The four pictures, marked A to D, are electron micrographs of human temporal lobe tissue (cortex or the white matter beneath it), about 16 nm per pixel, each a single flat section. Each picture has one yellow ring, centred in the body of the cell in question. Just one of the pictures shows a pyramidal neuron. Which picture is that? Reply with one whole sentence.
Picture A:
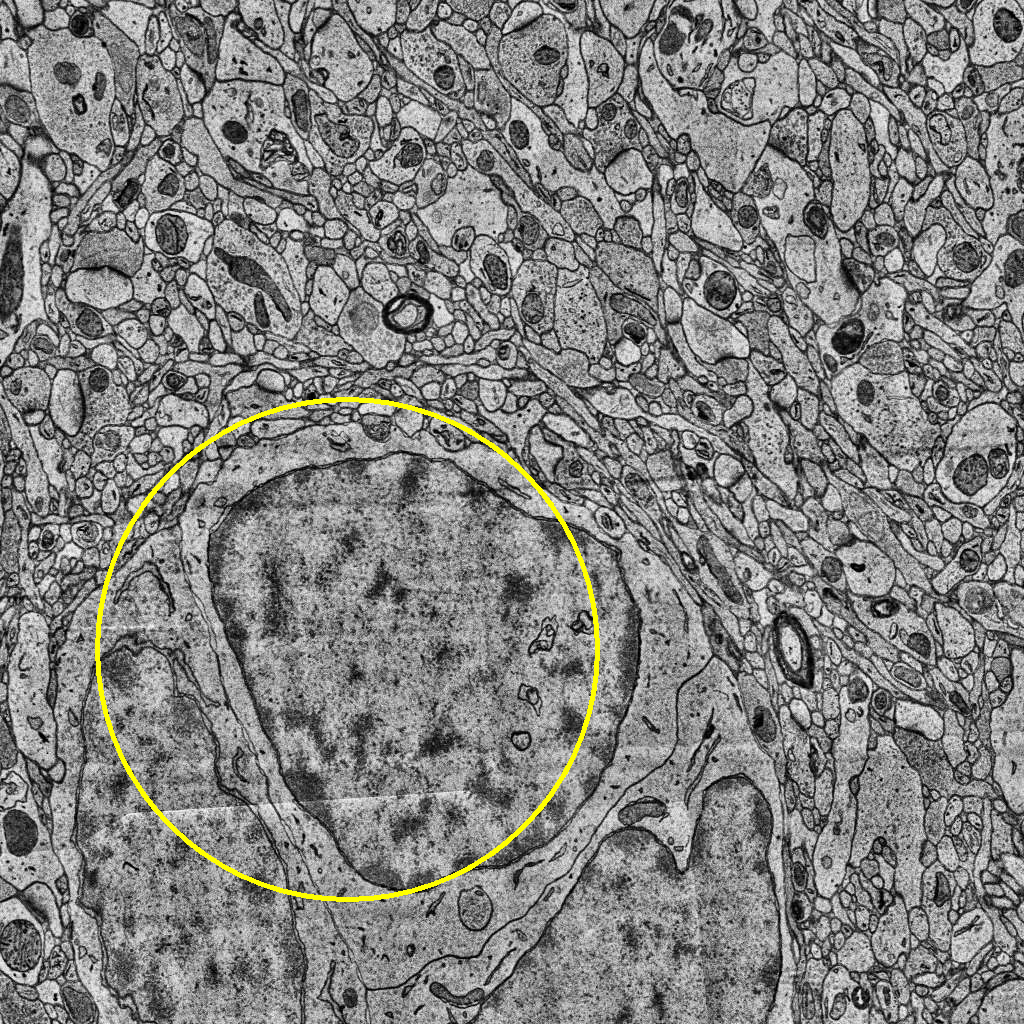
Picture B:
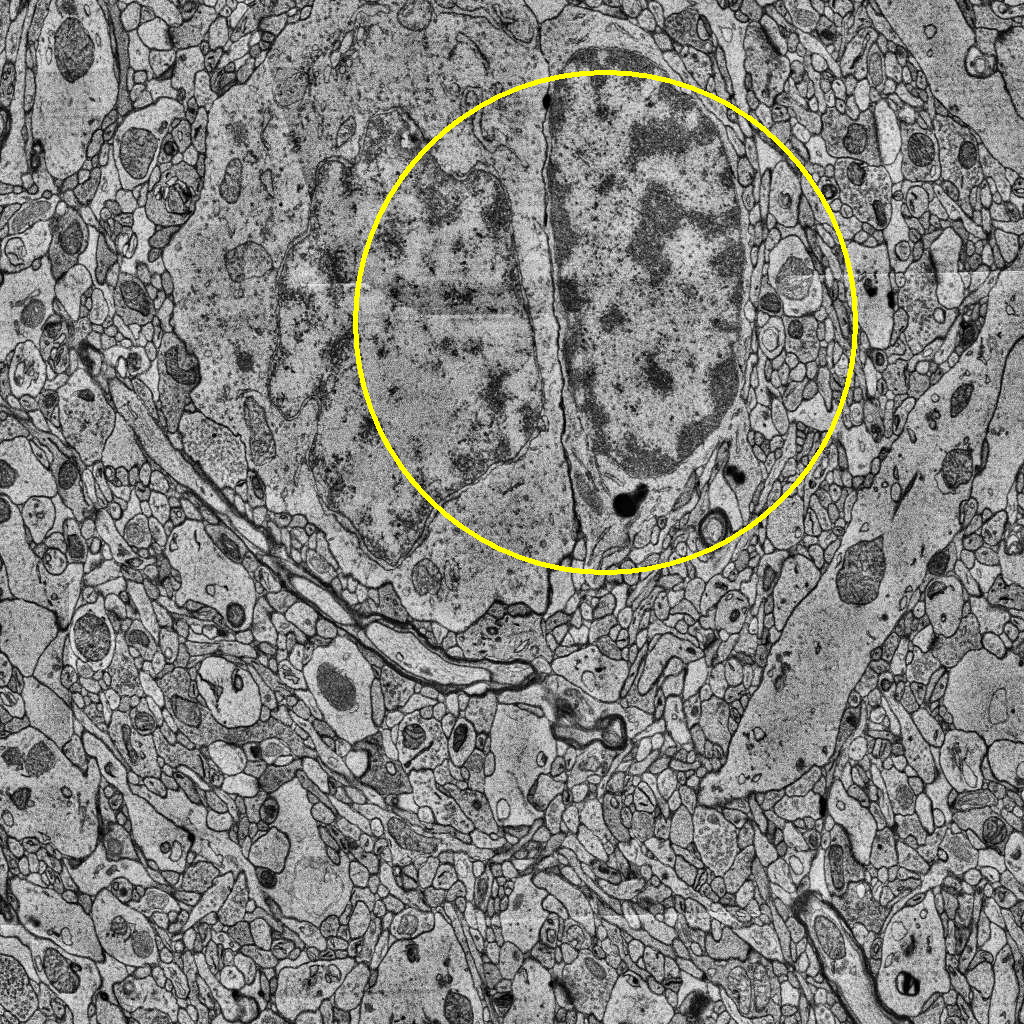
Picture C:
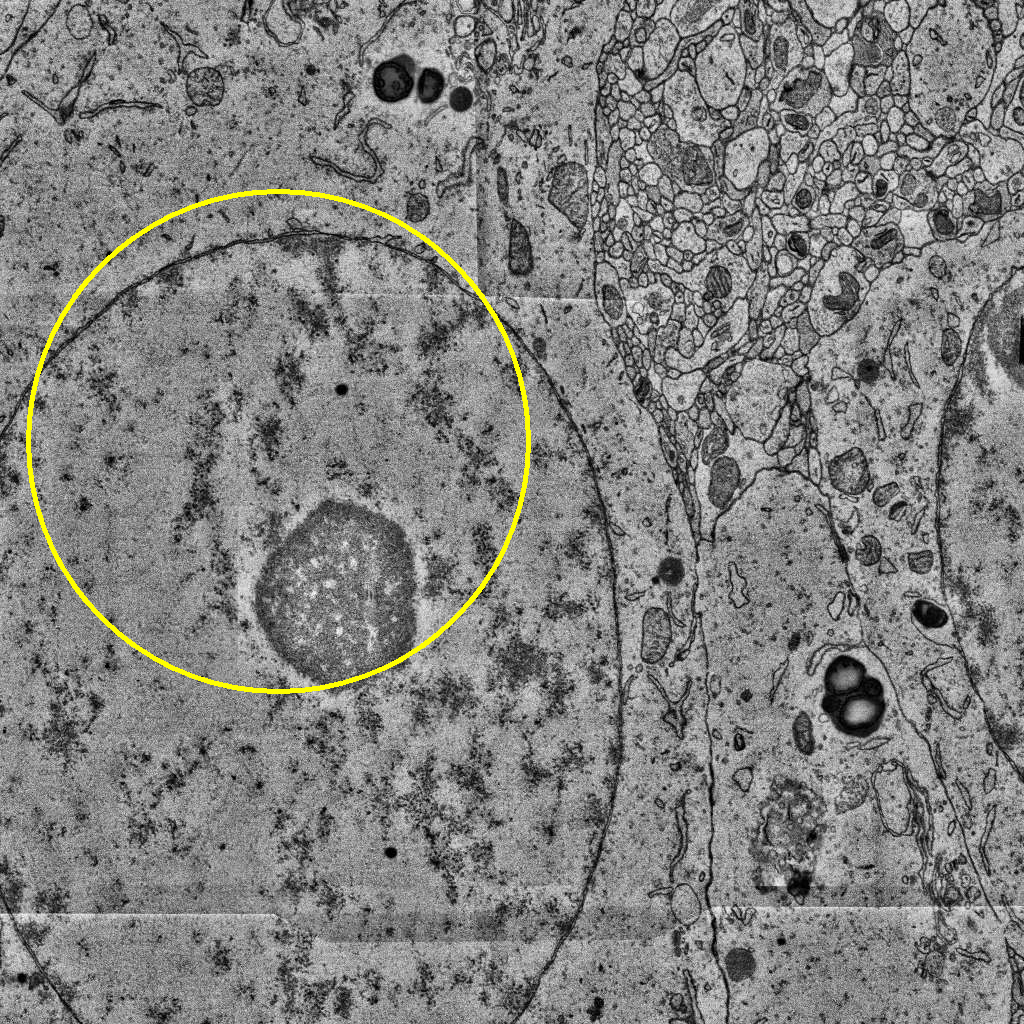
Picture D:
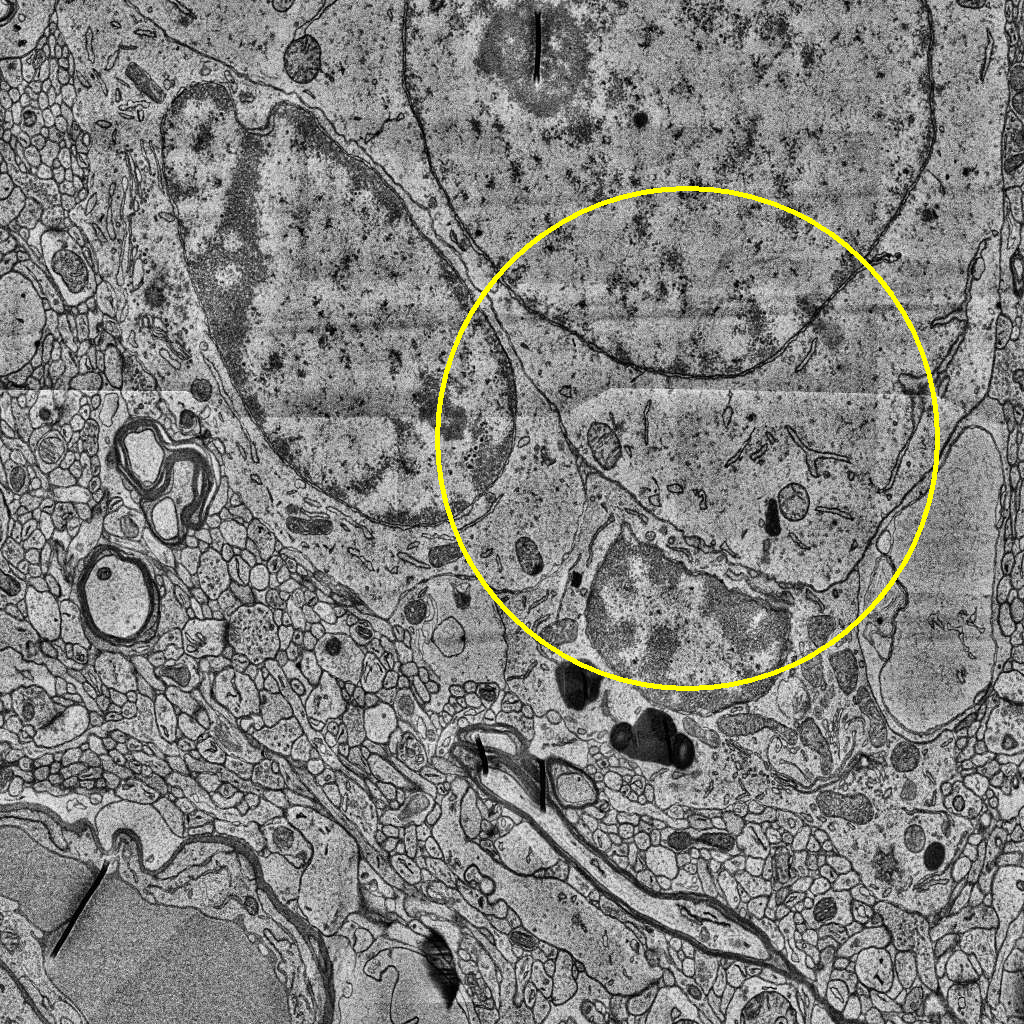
Picture C shows the pyramidal neuron.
